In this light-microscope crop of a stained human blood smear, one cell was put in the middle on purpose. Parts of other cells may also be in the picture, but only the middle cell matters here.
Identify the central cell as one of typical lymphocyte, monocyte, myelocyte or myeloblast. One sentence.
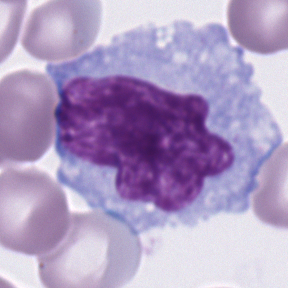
Answering briefly, the cell in the middle is a monocyte.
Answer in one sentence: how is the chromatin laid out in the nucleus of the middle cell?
There is no coarse clumping; the chromatin stays fine throughout.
